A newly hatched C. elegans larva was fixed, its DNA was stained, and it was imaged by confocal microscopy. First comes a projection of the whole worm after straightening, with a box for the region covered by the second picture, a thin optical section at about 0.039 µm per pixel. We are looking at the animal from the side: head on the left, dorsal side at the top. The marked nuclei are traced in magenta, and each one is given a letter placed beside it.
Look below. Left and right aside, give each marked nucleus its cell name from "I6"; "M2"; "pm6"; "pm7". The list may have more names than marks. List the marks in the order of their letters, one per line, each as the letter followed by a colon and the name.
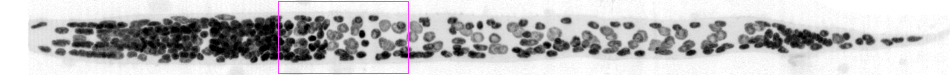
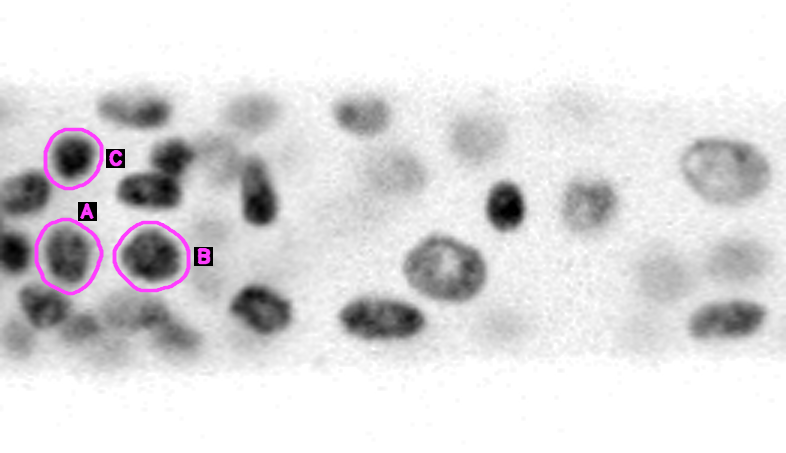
A: pm6
B: pm7
C: I6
